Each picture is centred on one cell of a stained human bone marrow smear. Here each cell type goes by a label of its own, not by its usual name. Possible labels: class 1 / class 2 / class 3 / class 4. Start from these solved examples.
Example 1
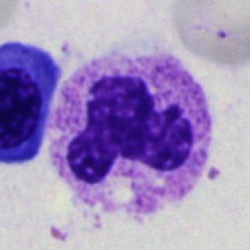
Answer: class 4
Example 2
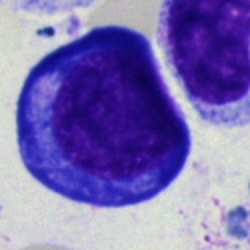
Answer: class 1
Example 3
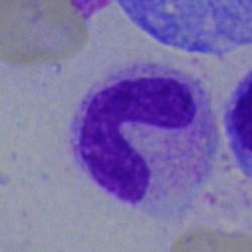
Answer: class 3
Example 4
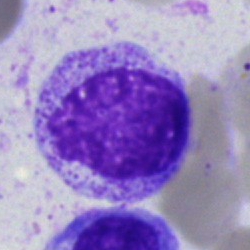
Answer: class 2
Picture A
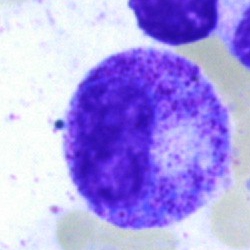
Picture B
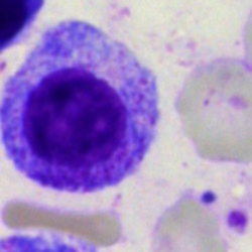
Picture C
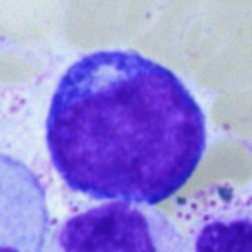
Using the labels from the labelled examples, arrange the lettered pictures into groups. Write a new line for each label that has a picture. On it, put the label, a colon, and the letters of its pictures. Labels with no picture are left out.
class 1: C
class 2: A, B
